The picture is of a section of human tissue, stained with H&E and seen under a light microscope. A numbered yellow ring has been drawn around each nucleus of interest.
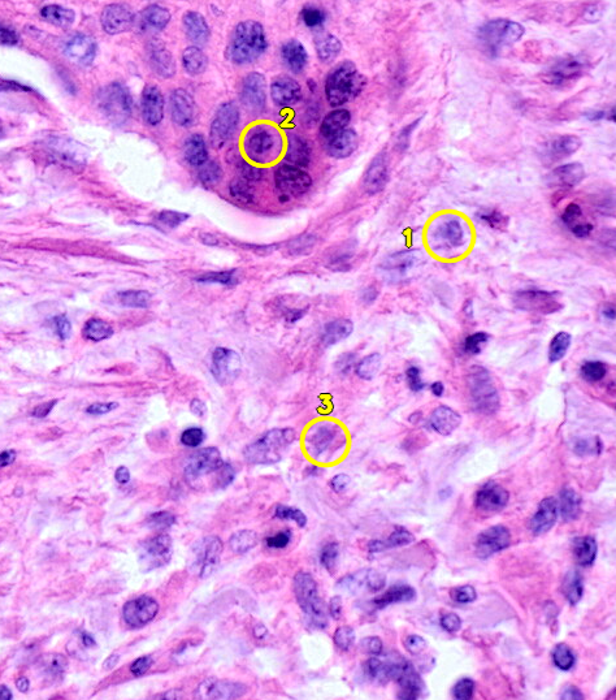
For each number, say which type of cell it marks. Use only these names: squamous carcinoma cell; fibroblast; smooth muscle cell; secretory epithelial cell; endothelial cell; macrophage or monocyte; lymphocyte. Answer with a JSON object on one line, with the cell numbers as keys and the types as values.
{"1": "fibroblast", "2": "squamous carcinoma cell", "3": "fibroblast"}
